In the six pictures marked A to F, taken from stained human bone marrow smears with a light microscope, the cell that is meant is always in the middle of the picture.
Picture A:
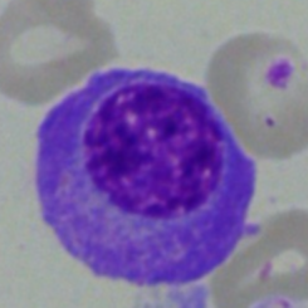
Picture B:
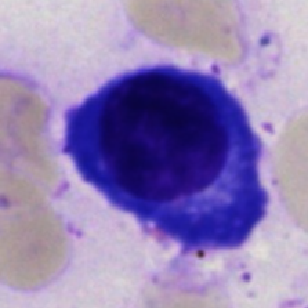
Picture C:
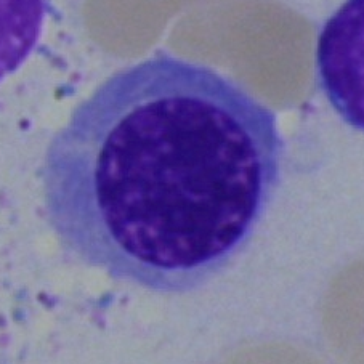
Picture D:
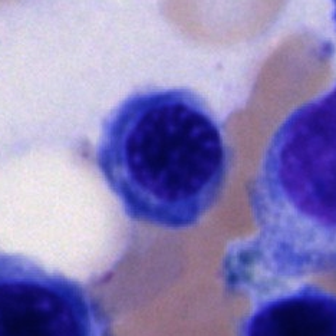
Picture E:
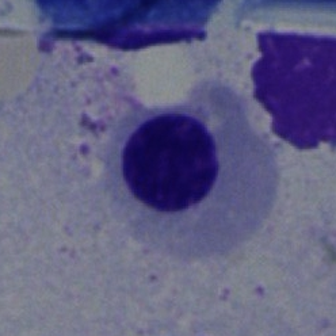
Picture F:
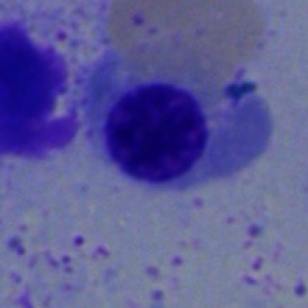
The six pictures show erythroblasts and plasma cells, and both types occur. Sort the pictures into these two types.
A: plasma cell
B: plasma cell
C: erythroblast
D: erythroblast
E: erythroblast
F: erythroblast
